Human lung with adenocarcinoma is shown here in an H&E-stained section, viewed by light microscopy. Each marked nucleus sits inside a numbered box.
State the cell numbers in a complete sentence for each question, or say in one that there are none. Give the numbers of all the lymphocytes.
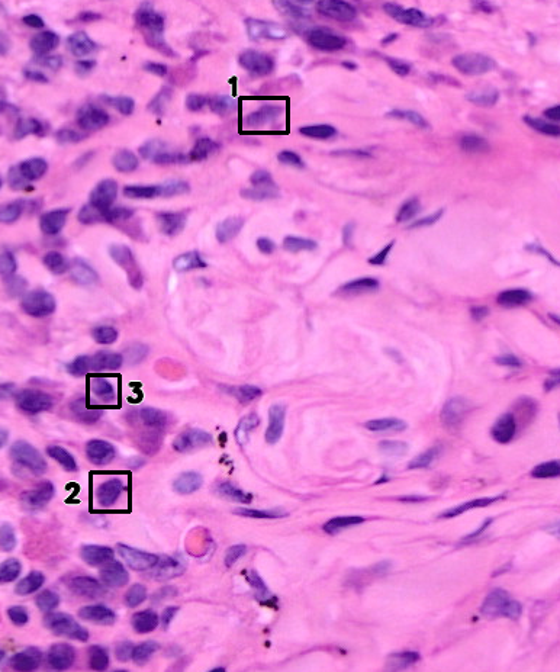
Marked by the numbers 2 and 3 are cells that are lymphocytes.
